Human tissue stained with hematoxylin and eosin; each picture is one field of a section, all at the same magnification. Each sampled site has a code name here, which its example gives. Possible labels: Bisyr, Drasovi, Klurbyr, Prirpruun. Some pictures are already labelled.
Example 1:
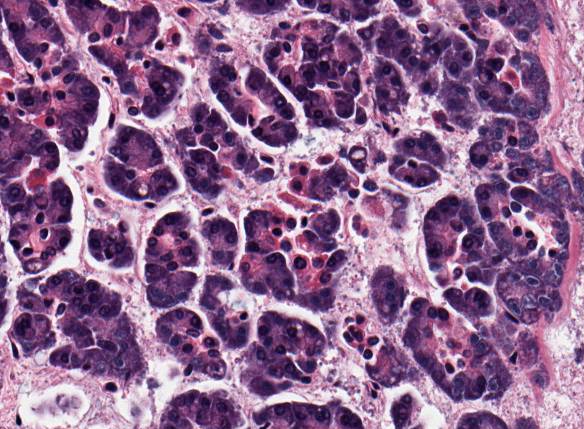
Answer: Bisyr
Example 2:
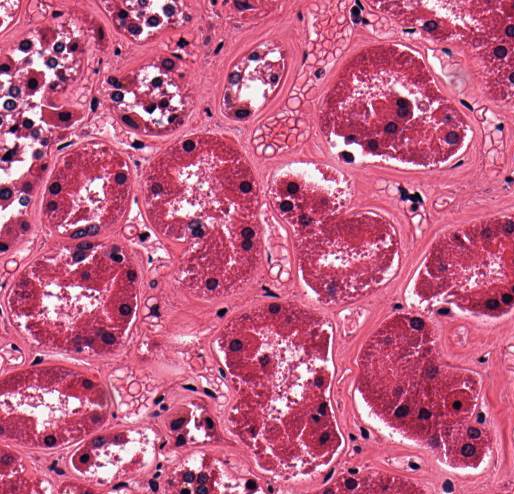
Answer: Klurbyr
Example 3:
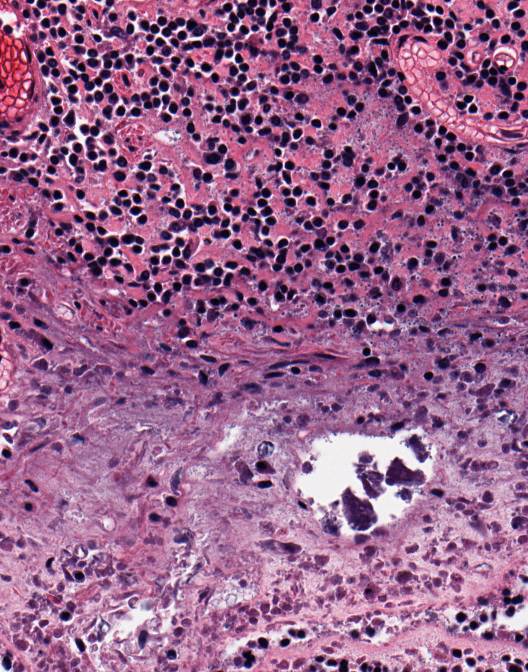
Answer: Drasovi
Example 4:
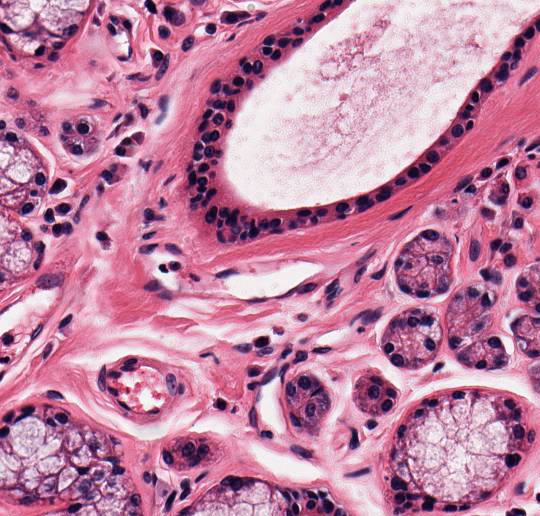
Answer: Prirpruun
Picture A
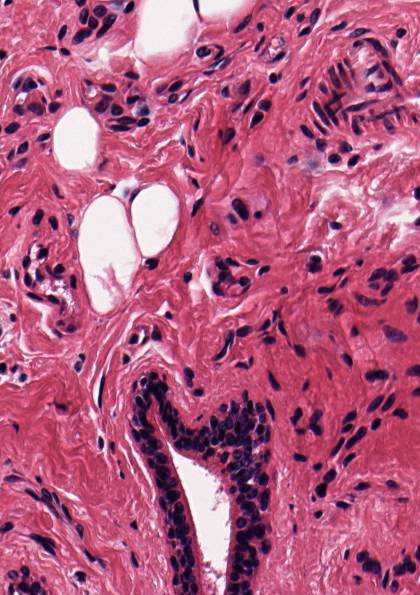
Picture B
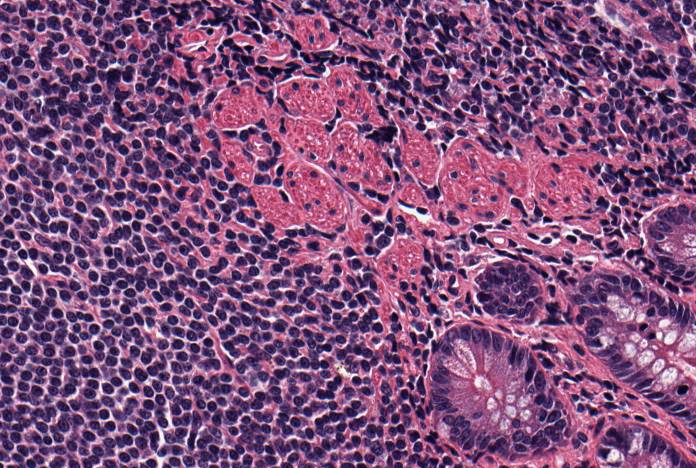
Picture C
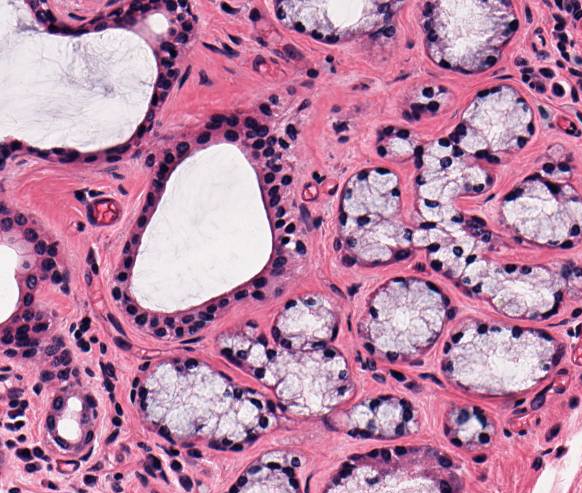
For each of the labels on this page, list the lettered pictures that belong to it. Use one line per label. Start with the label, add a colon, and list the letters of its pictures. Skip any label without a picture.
Drasovi: B
Prirpruun: A, C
